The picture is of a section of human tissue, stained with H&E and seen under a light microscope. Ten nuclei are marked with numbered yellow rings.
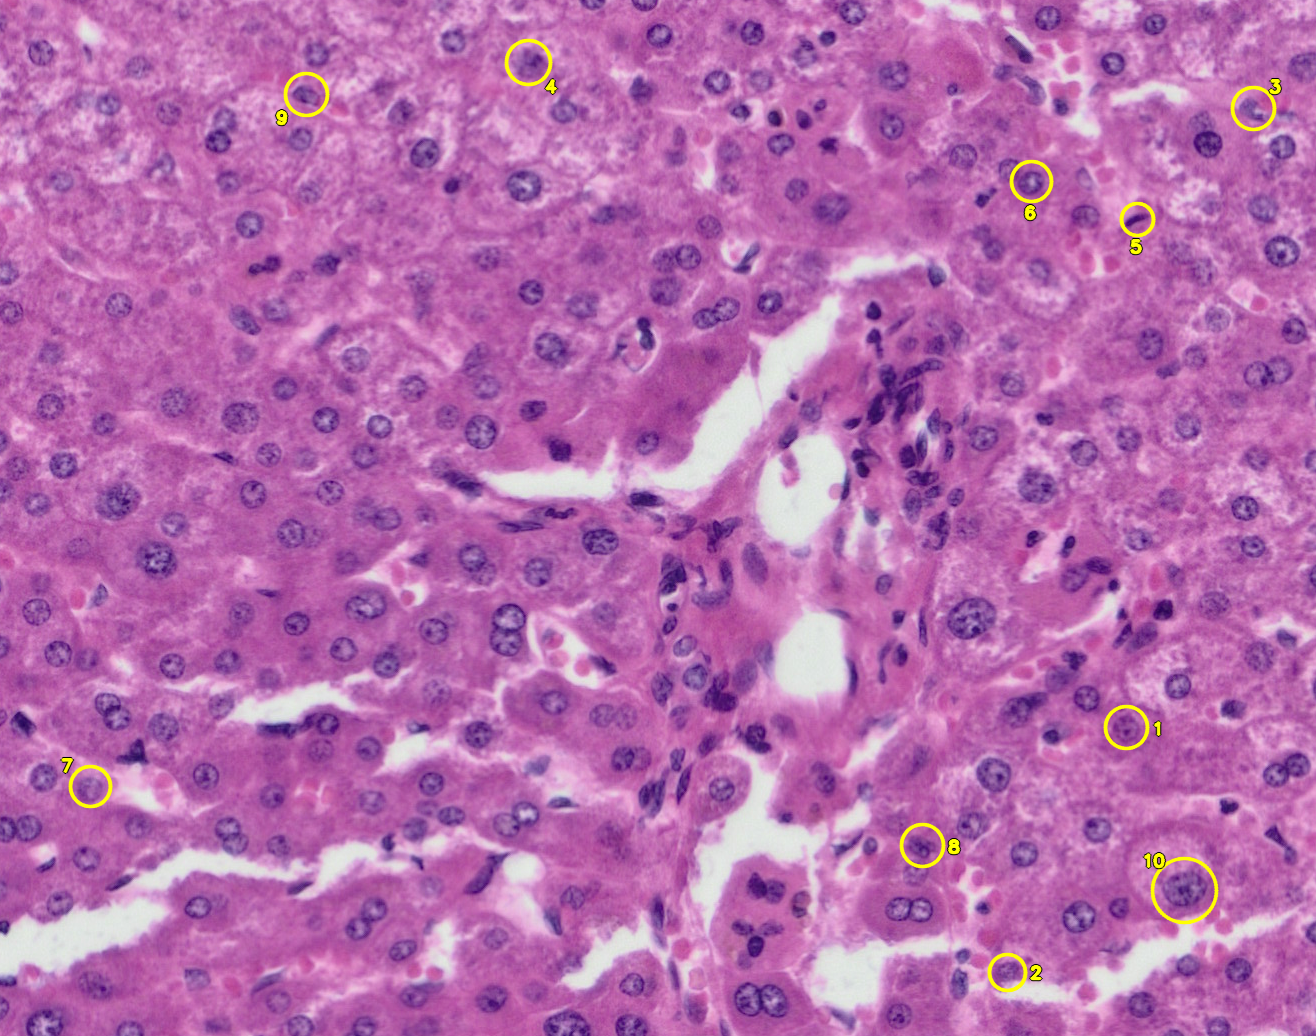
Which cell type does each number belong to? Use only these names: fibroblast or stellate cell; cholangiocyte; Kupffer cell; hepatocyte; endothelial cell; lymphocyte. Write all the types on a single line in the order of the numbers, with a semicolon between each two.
hepatocyte; hepatocyte; endothelial cell; hepatocyte; fibroblast or stellate cell; hepatocyte; hepatocyte; fibroblast or stellate cell; endothelial cell; hepatocyte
